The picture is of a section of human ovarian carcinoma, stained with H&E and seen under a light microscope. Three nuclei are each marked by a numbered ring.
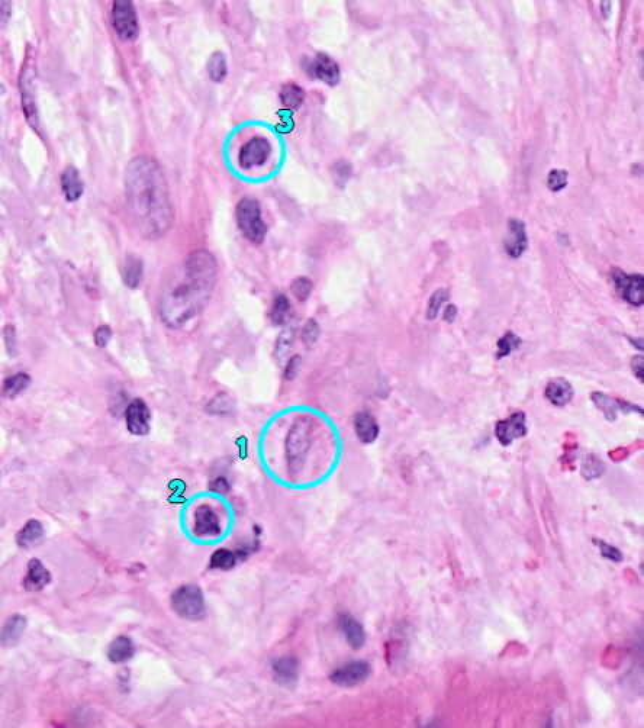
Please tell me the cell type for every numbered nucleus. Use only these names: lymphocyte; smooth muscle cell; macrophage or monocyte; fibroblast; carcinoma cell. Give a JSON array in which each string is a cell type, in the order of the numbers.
["fibroblast", "lymphocyte", "lymphocyte"]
